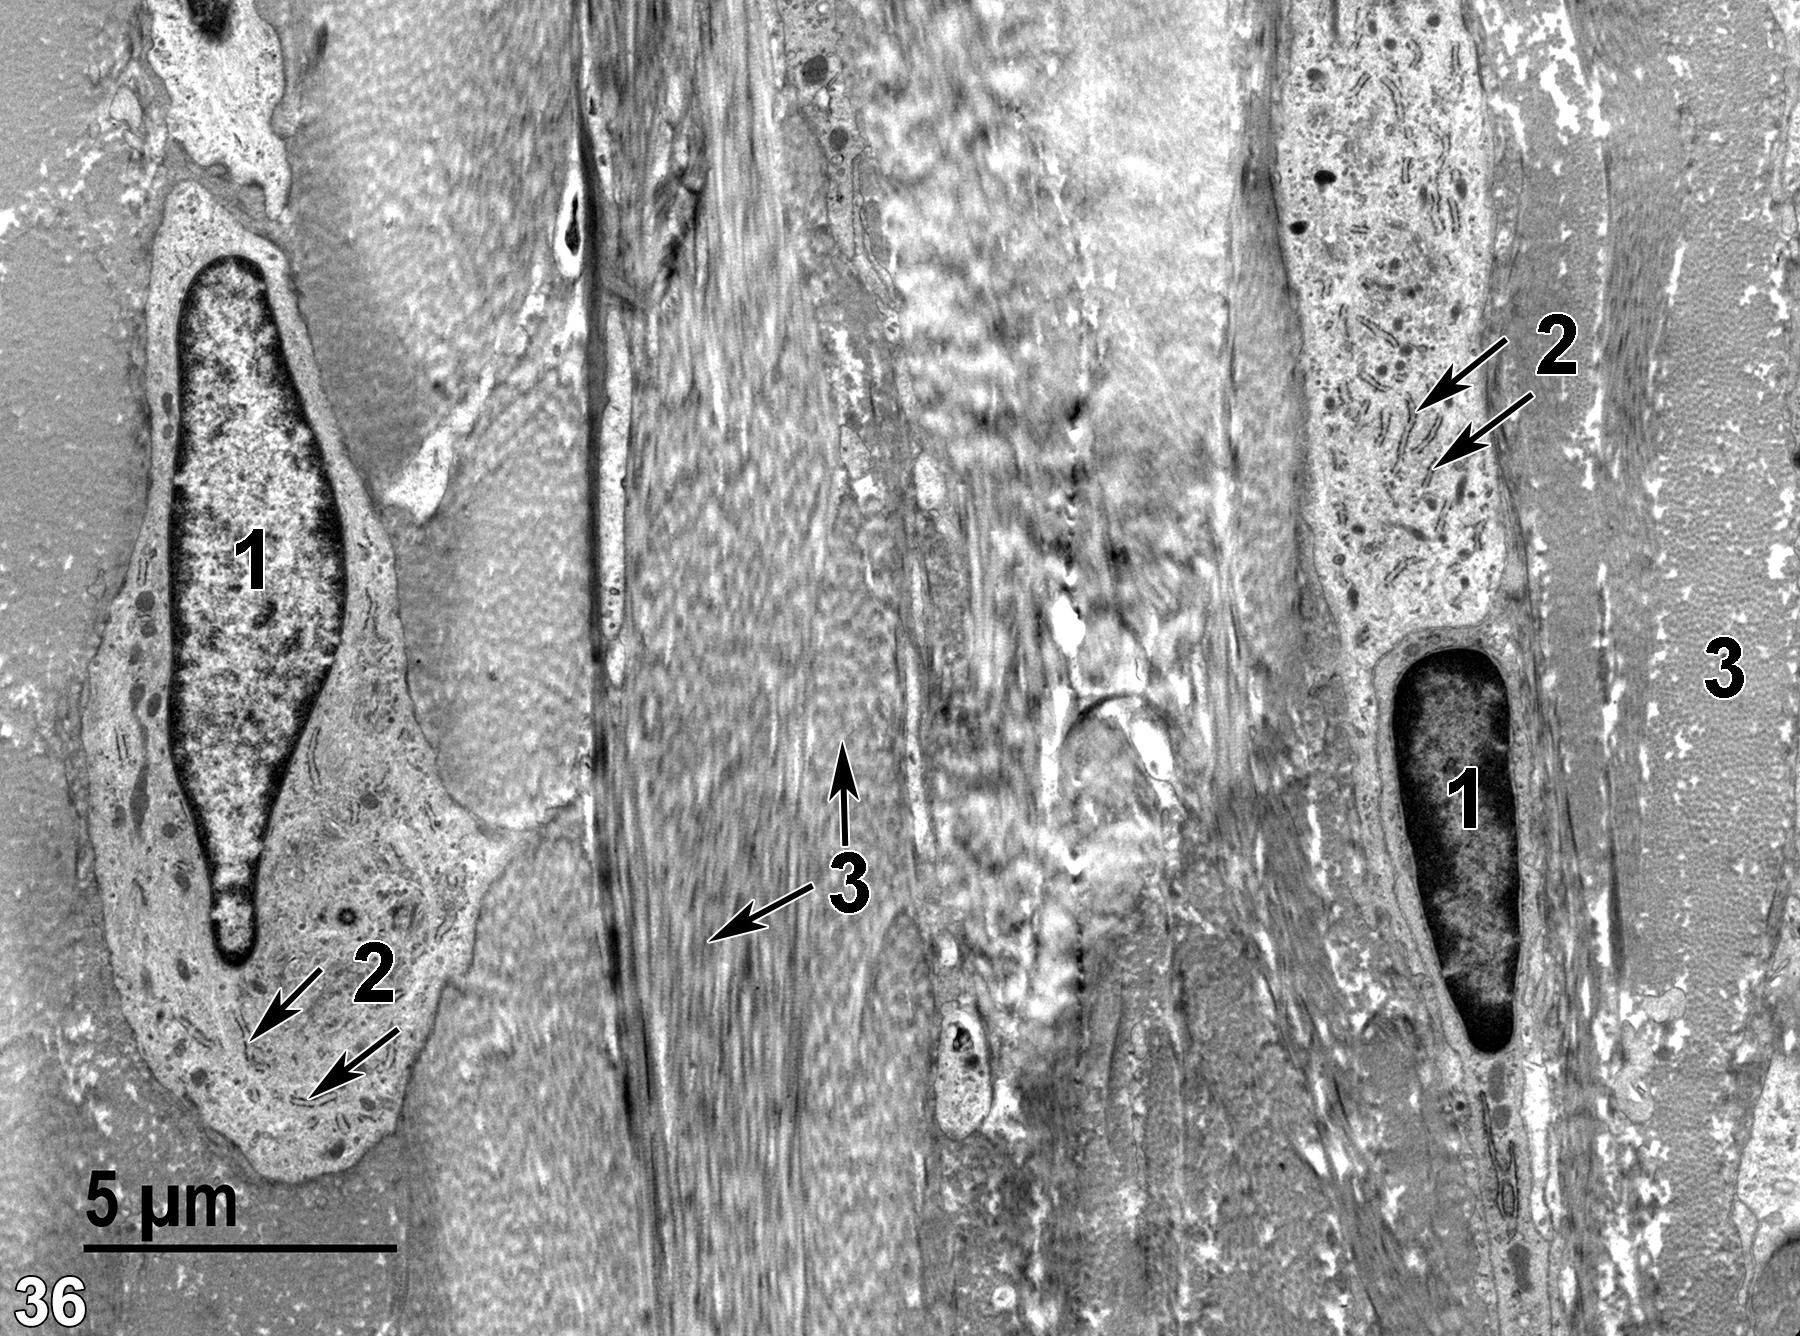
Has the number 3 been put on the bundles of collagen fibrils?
Yes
